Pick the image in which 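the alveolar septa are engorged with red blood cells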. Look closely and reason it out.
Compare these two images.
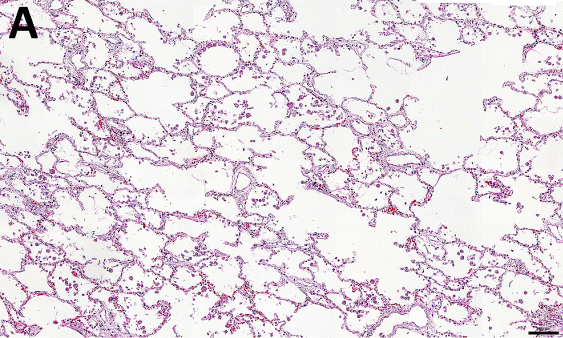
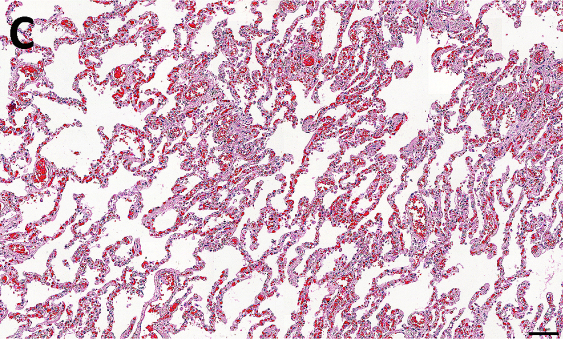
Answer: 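Second image: septa are thick and packed with bright red blood cells. First image: septa are thin with only scattered red blood cells.
Conclusion: the second image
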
